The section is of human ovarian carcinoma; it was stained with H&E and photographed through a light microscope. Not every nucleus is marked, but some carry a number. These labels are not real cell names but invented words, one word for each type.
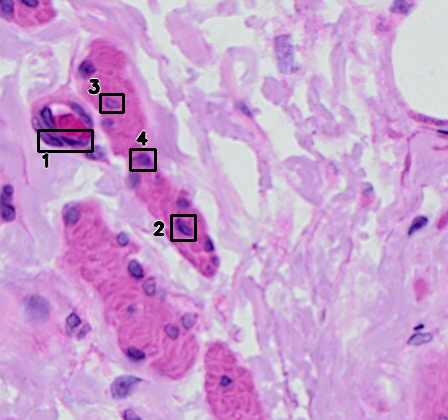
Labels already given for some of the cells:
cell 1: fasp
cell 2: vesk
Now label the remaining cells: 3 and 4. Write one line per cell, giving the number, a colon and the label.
3: vesk
4: vesk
